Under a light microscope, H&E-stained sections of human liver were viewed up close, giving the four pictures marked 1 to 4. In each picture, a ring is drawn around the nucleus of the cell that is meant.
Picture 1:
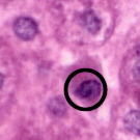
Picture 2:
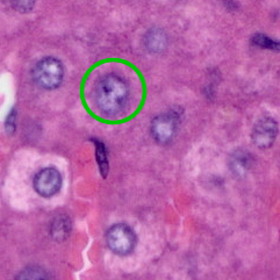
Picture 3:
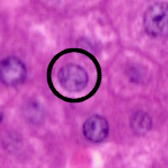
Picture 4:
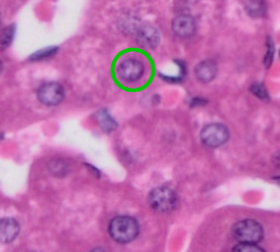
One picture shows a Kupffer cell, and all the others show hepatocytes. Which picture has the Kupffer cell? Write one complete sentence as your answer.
It is picture 1 that shows the Kupffer cell.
